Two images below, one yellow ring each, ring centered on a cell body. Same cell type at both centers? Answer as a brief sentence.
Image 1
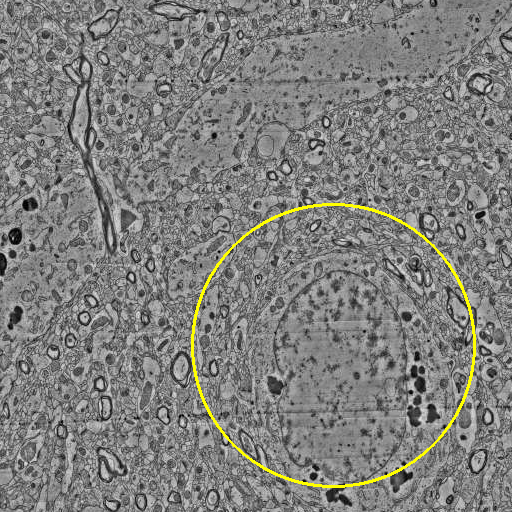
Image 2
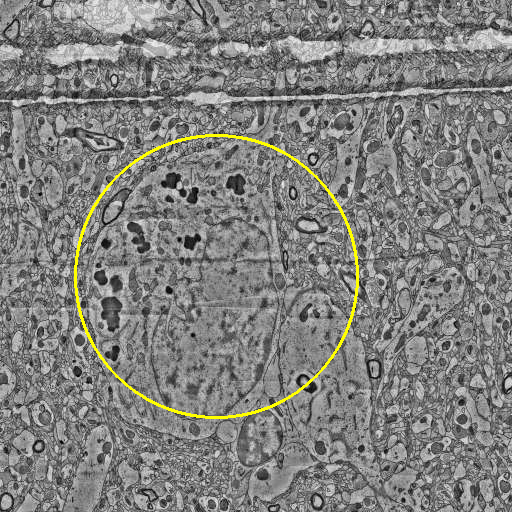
Yes, both cells are of the same type.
